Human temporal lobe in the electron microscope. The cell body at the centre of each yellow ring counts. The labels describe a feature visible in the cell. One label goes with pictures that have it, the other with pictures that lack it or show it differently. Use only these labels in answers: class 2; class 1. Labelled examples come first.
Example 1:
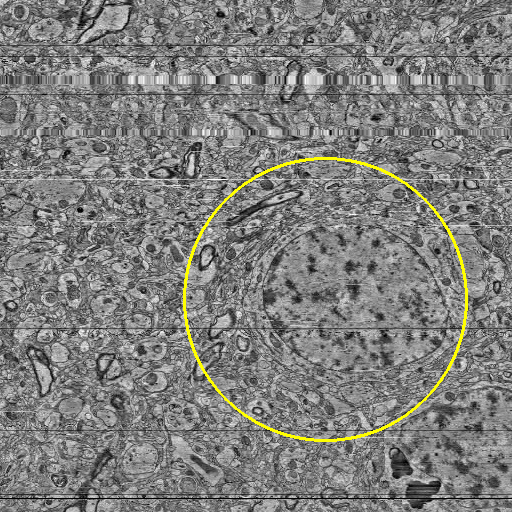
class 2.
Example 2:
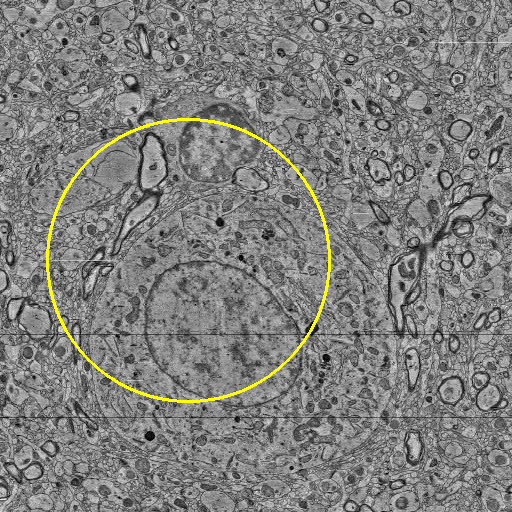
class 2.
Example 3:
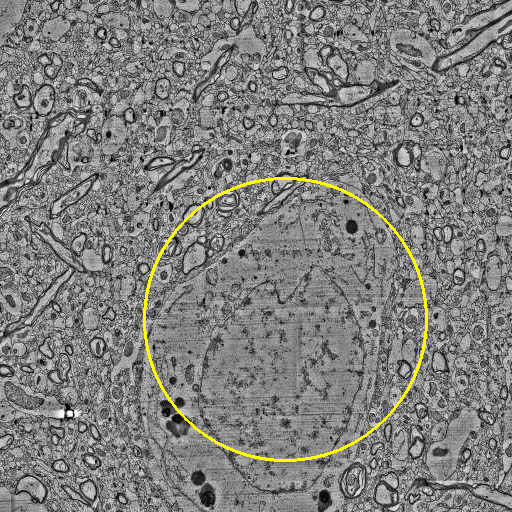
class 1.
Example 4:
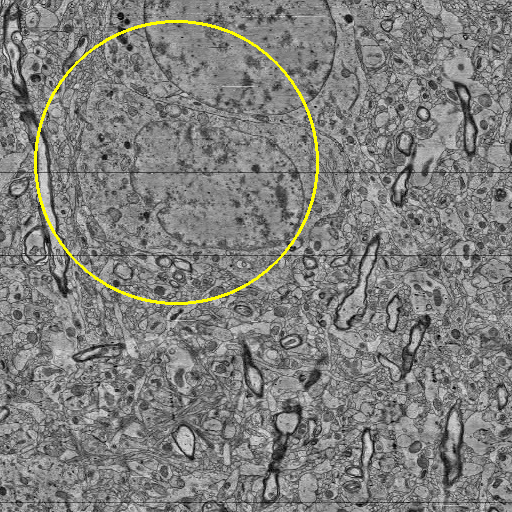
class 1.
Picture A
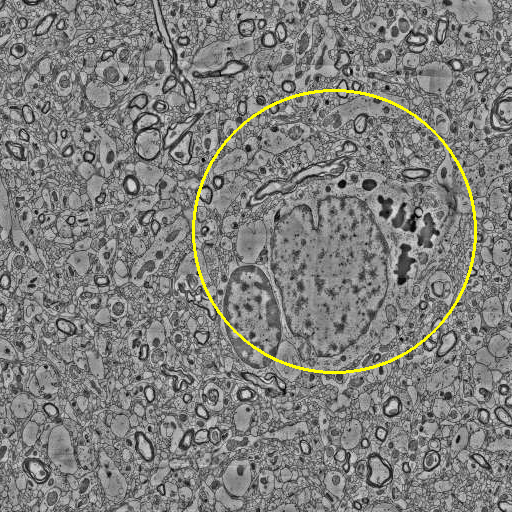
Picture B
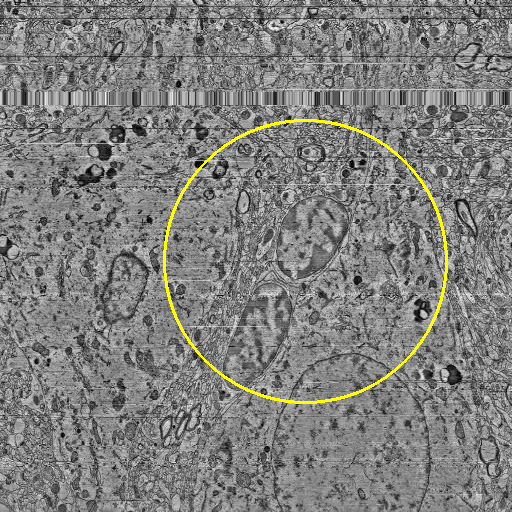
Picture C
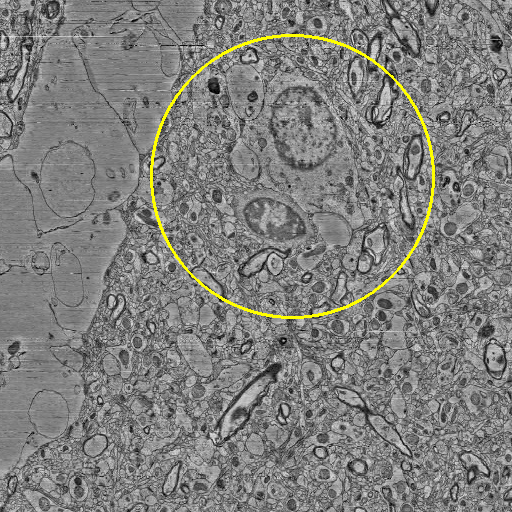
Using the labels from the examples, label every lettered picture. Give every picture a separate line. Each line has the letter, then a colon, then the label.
A: class 1.
B: class 2.
C: class 2.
